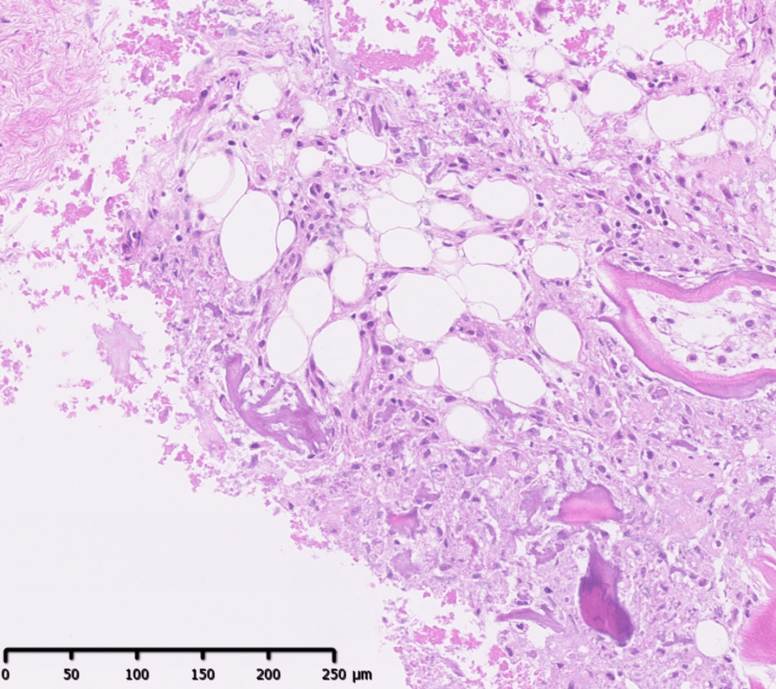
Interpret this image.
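Fatty marrow with many round, clear adipocyte spaces of varying size, separated by thin pink septa that hold scattered small nuclei. Dense, homogeneous pink-to-purple fragments lie among loose fibrillar pink stroma along the lower and right edges. An empty area occupies the lower left.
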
